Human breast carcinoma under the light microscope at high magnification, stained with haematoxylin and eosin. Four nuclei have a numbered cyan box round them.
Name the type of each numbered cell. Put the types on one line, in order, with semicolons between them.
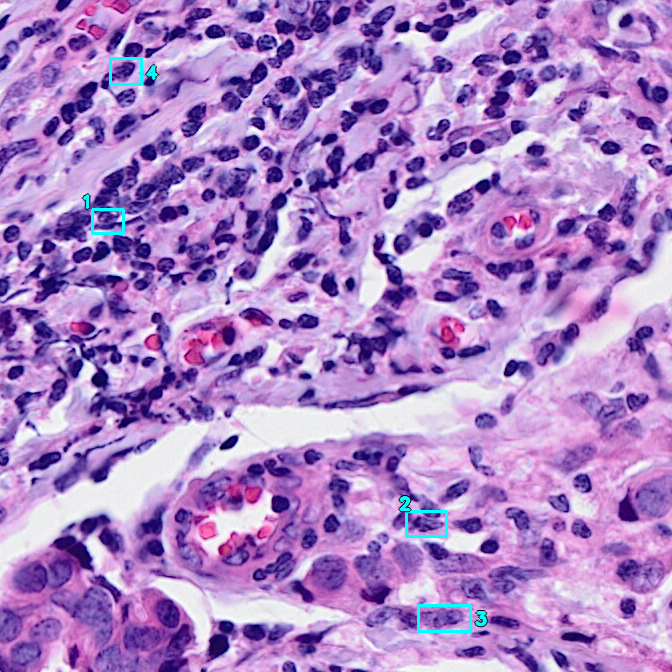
lymphocyte; lymphocyte; macrophage, monocyte or dendritic cell; lymphocyte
